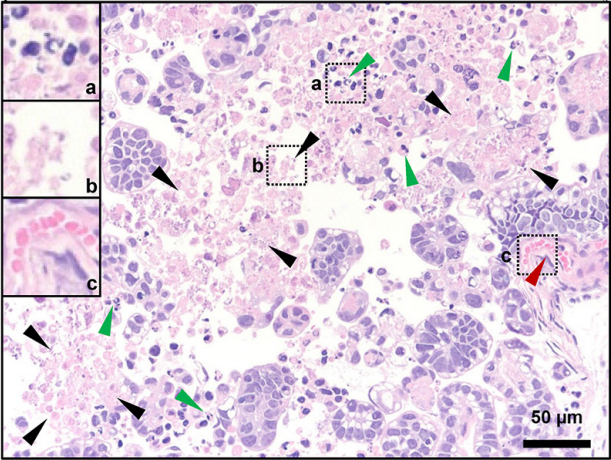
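Small nests and glands of tumor epithelial cells with purple nuclei lie scattered among wide areas of pale pink, granular debris. In the debris many cells have lost their nuclei or show only faint ghosts of them, and their borders are broken up. Scattered among them are single cells whose nuclear material is split into several small dark purple fragments, while a rim around them is still visible. At one edge a small vessel with bright red blood cells sits in a bit of fibrous tissue. The pattern is of tumor tissue with extensive necrosis, together with scattered apoptotic cells showing nuclear fragmentation.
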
